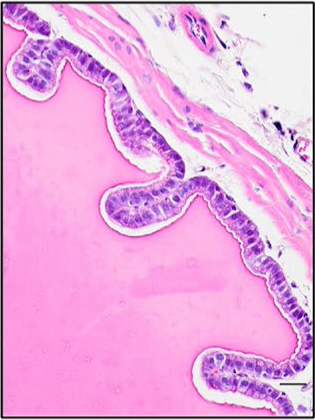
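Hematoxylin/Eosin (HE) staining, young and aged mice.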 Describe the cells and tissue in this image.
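This is the lining of the seminal vesicle at higher power: slender mucosal folds covered by a single layer of columnar epithelial cells whose nuclei stain purple and sit toward the base, with lighter cytoplasm facing the lumen. Beneath the epithelium runs a thin band of pink fibromuscular stroma with flattened, elongated nuclei, and the folds have a delicate connective core. The epithelium forms regular, finger-like loops rather than crowded, complex branching.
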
